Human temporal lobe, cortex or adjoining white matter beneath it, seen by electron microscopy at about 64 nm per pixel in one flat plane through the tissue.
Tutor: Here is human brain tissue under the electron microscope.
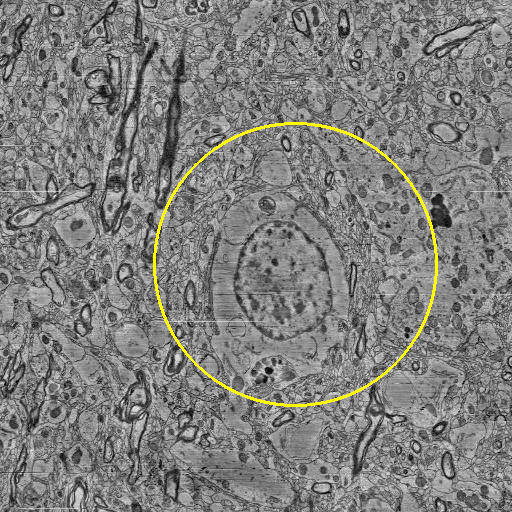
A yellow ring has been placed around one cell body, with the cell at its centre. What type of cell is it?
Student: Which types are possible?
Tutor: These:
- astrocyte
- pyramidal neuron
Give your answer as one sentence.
What the ring picks out here is an astrocyte.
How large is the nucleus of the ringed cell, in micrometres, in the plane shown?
The nucleus appears roughly 8 by 6 micrometres in this plane.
